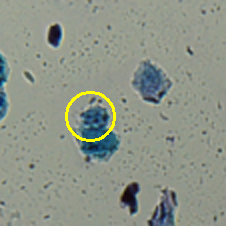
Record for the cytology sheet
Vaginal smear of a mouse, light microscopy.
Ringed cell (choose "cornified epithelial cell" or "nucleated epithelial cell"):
cornified epithelial cell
